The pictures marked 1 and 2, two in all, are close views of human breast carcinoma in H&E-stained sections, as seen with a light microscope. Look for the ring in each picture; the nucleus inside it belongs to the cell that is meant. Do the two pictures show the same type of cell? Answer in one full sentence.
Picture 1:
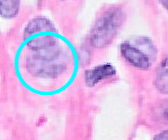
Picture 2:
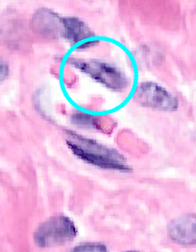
No, they differ: the cell is a carcinoma cell in picture 1 and an endothelial cell in picture 2.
